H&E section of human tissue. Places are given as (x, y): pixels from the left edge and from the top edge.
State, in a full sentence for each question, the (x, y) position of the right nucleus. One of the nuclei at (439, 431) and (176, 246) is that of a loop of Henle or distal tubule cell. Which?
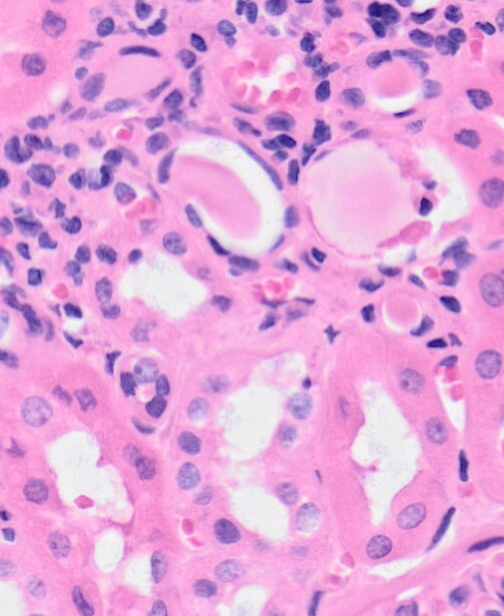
Of the two nuclei, the nucleus of a loop of Henle or distal tubule cell is at (176, 246).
